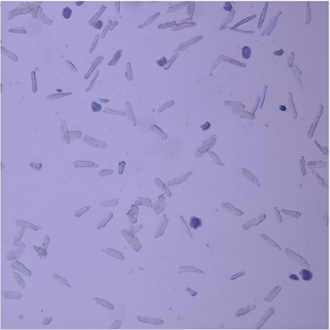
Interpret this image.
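Isolated cardiac myocytes lie scattered singly on a plain background. Most are unstained, elongated rod-shaped cells with blunt, squared ends. A few small rounded cells have taken up the dark blue dye.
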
